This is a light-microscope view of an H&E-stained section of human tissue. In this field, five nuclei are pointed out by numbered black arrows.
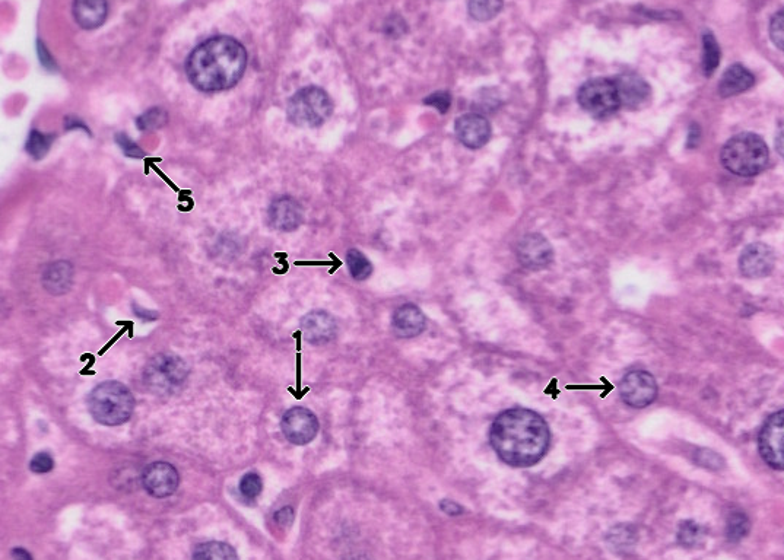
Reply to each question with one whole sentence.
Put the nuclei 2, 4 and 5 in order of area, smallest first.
From smallest to largest, the order is 2, 5, 4.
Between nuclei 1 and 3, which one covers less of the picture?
Nucleus 3 covers less area, with nucleus 1 about 2 times as large.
